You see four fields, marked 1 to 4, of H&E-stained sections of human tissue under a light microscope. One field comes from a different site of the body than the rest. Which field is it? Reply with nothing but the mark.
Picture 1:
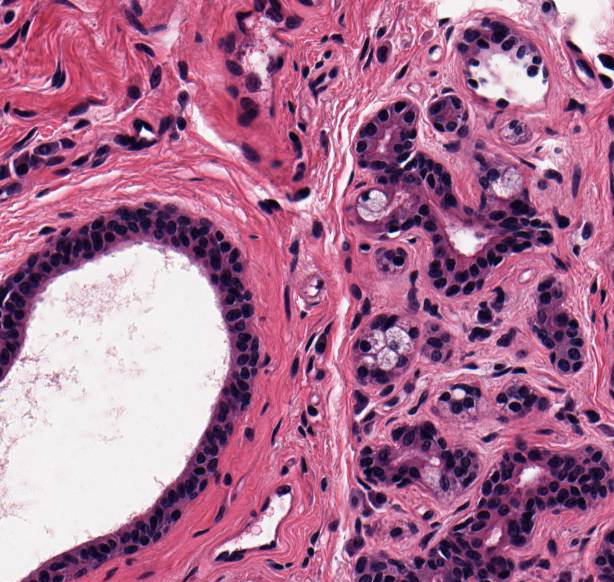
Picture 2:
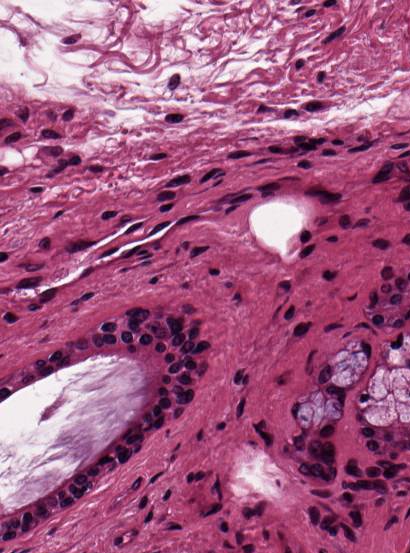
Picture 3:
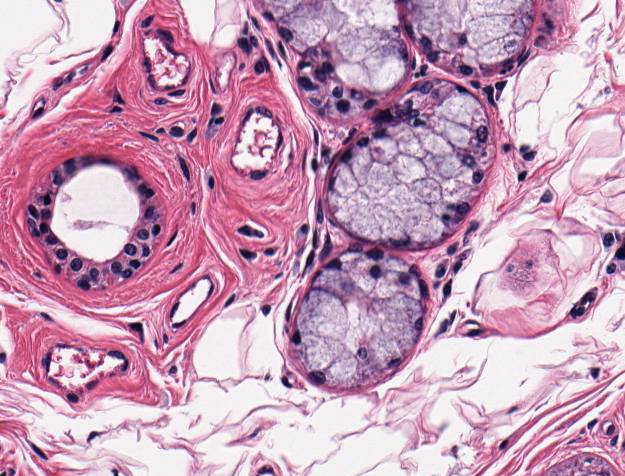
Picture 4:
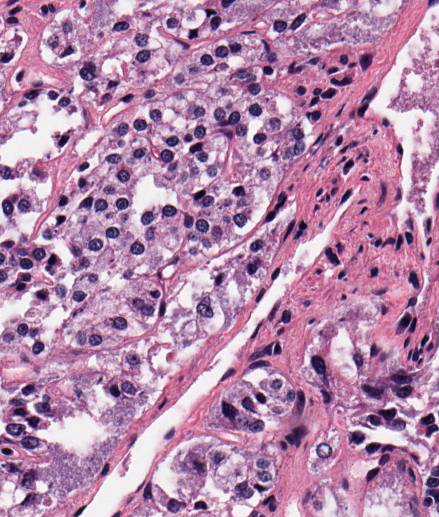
4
